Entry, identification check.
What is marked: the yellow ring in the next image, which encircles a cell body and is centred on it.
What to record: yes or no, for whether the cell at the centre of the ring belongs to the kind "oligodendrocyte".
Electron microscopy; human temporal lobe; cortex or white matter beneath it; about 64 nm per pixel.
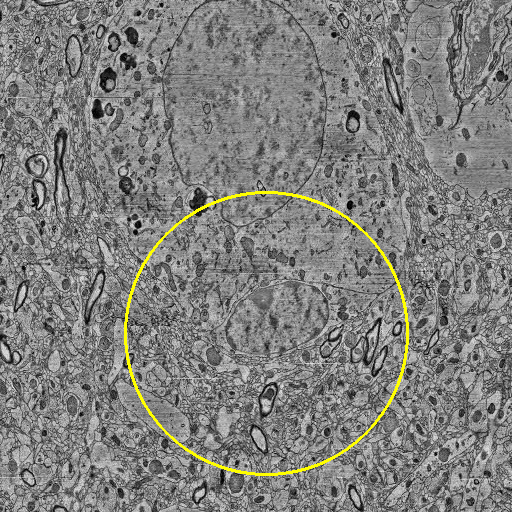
No, it belongs to another kind.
